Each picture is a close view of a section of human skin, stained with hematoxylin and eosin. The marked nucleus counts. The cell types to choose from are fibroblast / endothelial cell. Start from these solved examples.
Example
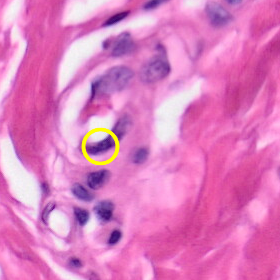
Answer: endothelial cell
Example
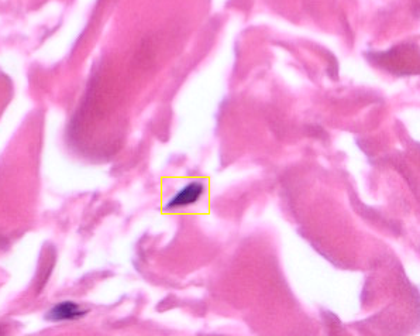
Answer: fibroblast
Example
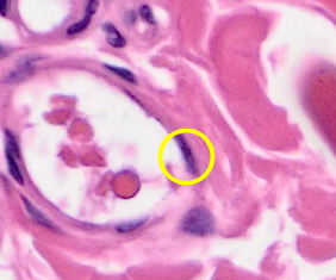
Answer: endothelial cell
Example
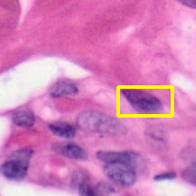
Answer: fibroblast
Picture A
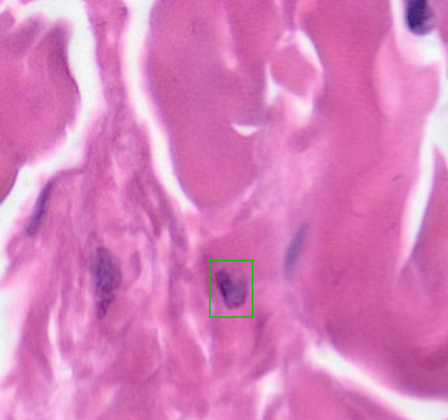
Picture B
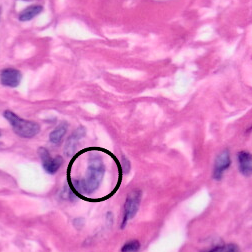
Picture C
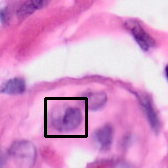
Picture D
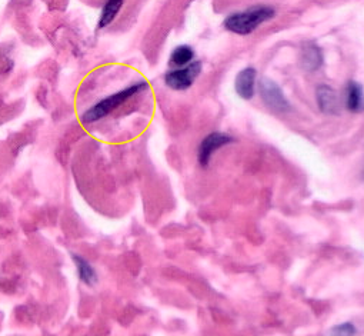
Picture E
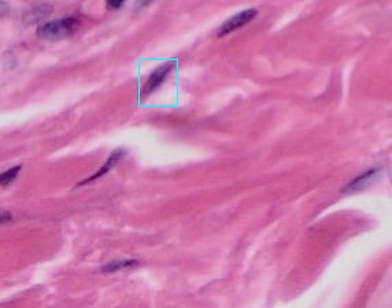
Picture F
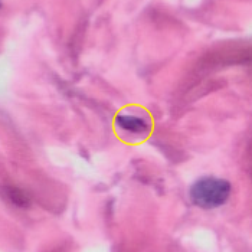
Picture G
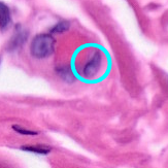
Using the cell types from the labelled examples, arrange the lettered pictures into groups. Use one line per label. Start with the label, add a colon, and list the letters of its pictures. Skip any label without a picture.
fibroblast: A, D, E, F
endothelial cell: B, C, G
